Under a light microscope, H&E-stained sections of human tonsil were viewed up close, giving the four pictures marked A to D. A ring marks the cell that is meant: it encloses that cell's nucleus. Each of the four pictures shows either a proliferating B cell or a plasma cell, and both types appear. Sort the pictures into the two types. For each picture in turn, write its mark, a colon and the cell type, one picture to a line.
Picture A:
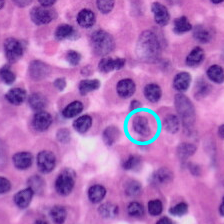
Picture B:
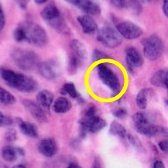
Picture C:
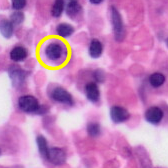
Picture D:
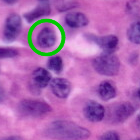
A: plasma cell
B: proliferating B cell
C: plasma cell
D: plasma cell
